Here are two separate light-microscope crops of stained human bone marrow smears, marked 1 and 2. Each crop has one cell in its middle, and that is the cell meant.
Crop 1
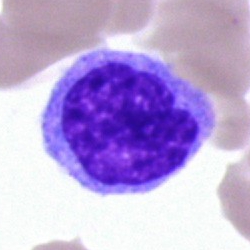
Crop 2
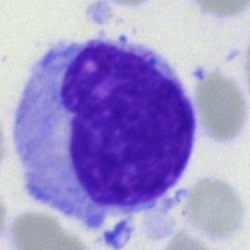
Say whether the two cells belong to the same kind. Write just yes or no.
yes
